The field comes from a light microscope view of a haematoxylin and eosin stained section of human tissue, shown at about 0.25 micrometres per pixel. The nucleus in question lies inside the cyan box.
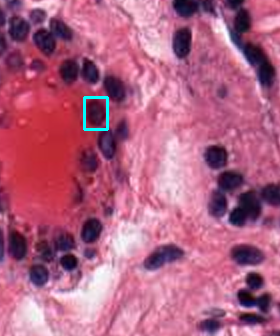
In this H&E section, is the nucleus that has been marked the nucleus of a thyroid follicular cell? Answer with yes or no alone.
yes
